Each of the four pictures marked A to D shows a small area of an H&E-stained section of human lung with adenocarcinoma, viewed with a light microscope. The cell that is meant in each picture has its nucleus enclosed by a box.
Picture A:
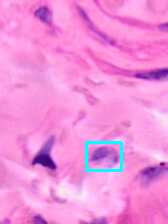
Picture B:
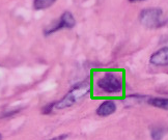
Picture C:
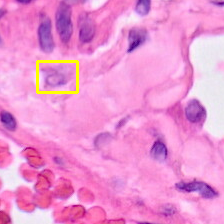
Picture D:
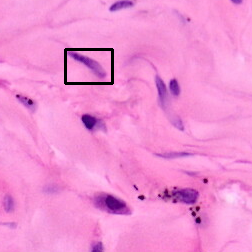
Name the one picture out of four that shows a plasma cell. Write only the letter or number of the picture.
B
